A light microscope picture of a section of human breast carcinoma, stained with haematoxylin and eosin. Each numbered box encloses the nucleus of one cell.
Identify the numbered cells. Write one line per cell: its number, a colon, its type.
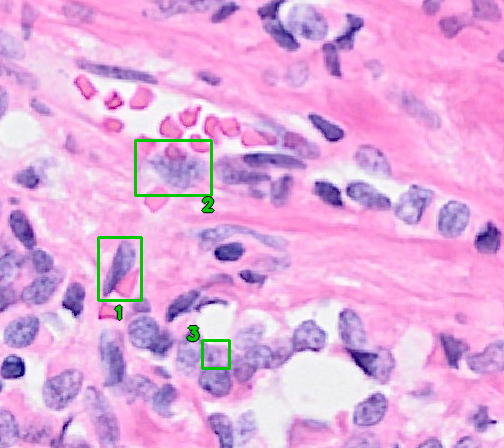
1: endothelial cell
2: endothelial cell
3: carcinoma cell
